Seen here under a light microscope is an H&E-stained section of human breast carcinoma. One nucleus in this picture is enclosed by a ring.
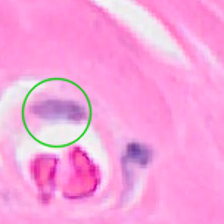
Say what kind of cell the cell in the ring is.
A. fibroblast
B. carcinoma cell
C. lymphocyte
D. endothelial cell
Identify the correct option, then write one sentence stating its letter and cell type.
Option D stands as correct, with the cell in the ring being an endothelial cell.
